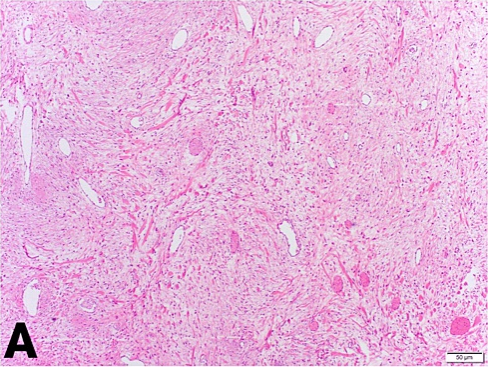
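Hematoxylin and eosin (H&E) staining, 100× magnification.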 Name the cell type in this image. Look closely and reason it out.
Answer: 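Many small, elongated spindle-shaped nuclei are spread evenly through the tissue. The cells lie in a pale pink fibrillar matrix. The answer: fibroblastic cells.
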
